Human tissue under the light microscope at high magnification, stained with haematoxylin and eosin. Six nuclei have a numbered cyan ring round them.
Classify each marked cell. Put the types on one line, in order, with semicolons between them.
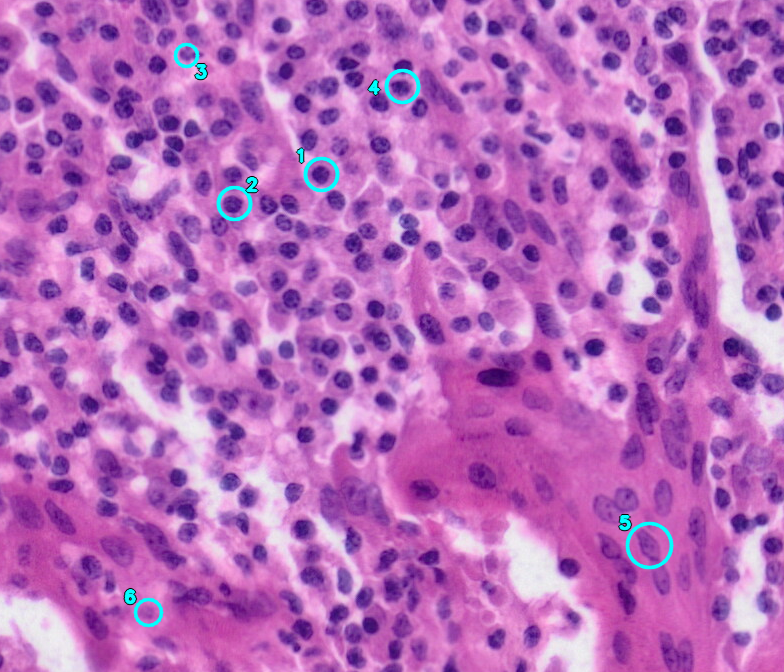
plasma cell; plasma cell; plasma cell; plasma cell; squamous epithelial cell; squamous epithelial cell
